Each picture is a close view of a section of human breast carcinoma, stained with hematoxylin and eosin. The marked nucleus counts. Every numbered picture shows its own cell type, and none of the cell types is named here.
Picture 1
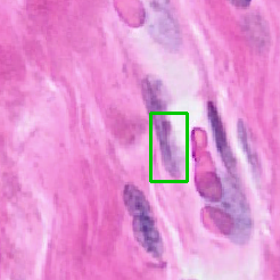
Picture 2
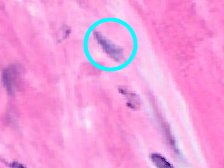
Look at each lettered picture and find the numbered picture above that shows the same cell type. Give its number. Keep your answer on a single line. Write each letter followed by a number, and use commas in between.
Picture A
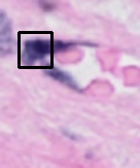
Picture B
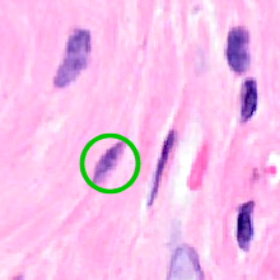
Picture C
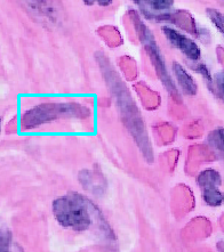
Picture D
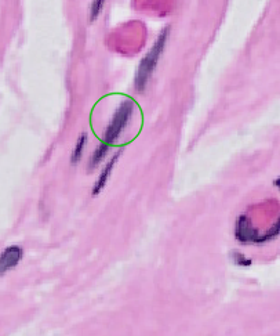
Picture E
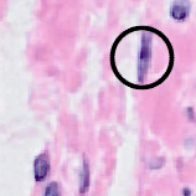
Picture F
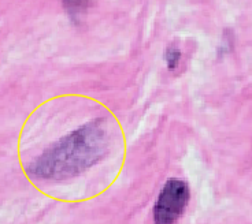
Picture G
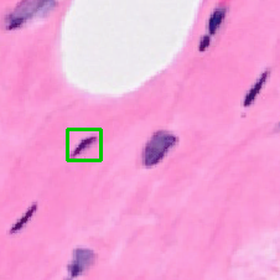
A 1, B 2, C 1, D 1, E 2, F 2, G 2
